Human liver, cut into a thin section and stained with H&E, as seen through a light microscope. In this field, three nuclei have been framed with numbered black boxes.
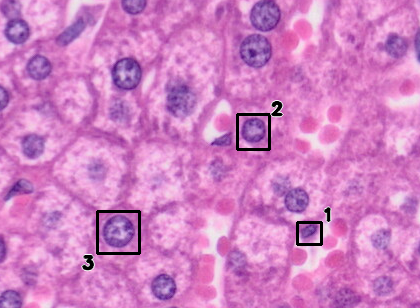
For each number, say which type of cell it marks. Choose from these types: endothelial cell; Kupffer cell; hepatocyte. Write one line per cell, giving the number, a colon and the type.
1: Kupffer cell
2: hepatocyte
3: hepatocyte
